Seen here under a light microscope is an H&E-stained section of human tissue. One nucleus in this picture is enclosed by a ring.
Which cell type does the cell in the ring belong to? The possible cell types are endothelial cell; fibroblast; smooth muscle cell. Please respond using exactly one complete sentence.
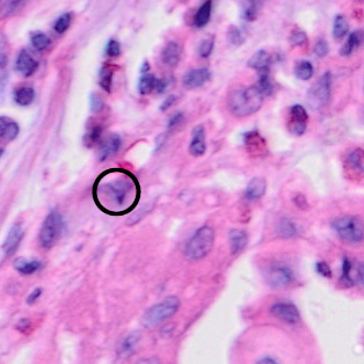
The identity of the cell in the ring: it is an endothelial cell.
